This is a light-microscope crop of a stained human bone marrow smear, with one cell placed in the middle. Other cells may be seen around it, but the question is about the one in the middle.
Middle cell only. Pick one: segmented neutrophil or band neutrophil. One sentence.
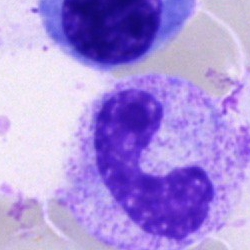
In short, the cell at the center is a band neutrophil.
